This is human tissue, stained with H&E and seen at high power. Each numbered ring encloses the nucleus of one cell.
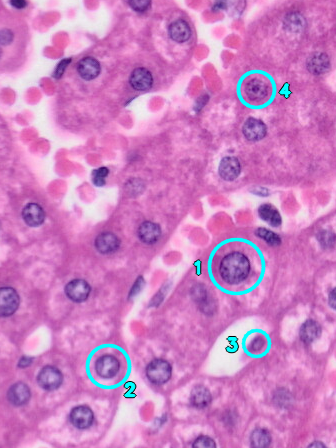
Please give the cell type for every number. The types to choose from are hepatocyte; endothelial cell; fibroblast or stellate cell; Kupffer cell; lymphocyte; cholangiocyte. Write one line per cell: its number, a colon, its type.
1: hepatocyte
2: hepatocyte
3: Kupffer cell
4: hepatocyte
